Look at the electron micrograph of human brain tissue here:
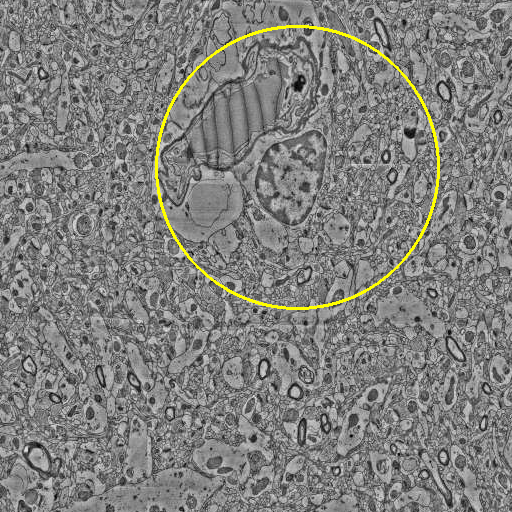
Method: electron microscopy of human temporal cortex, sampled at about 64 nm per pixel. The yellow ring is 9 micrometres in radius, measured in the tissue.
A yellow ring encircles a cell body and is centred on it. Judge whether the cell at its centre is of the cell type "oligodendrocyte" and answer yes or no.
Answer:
no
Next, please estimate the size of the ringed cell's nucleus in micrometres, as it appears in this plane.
The ringed cell's nucleus measures approximately 6 by 4 micrometres in this plane.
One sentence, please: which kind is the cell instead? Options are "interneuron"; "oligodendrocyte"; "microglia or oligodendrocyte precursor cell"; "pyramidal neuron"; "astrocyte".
Instead, the ring in this picture marks a microglial cell or oligodendrocyte precursor cell.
